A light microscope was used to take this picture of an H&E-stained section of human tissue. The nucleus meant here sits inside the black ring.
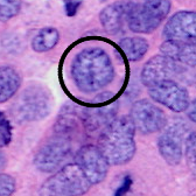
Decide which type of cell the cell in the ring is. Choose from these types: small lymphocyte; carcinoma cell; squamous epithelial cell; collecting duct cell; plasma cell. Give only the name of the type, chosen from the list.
carcinoma cell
